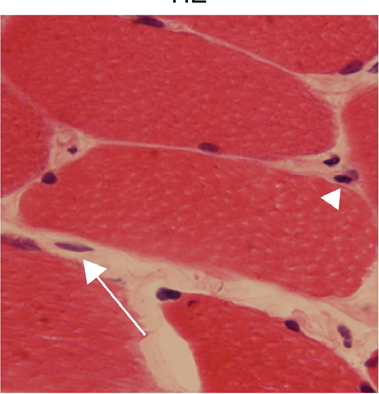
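Cross-cut skeletal muscle myofibers appear as large, polygonal pink profiles with finely stippled cytoplasm, separated by pale interstitial spaces. Small dark purple nuclei lie at the fiber edges and in the connective tissue between fibers. One elongated, flattened nucleus sits within a wider pale interstitial space between two fibers, while other small nuclei hug the fiber periphery.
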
